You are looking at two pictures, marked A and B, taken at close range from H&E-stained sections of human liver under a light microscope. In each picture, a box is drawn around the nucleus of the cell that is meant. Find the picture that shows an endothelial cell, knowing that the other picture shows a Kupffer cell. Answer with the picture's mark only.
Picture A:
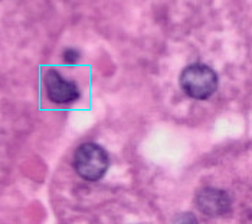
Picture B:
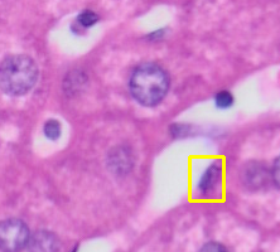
B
